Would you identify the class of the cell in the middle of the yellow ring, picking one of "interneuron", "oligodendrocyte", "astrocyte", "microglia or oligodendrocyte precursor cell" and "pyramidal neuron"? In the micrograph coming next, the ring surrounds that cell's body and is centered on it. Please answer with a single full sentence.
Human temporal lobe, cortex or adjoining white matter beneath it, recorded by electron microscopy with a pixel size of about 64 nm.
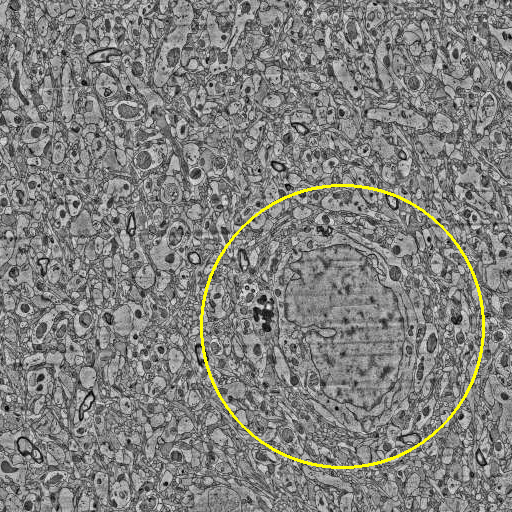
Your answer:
In the micrograph, it is an interneuron whose body lies at the ring's center.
